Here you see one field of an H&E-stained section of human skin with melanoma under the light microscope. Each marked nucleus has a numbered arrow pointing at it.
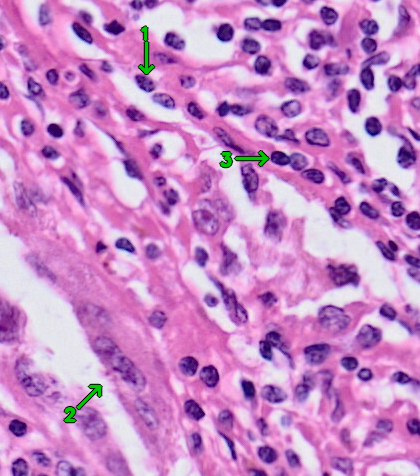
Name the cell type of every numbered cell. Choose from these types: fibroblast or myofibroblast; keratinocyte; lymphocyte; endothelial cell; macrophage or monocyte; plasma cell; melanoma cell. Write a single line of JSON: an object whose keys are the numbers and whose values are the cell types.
{"1": "lymphocyte", "2": "melanoma cell", "3": "lymphocyte"}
